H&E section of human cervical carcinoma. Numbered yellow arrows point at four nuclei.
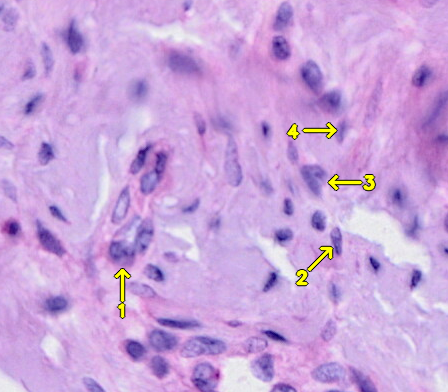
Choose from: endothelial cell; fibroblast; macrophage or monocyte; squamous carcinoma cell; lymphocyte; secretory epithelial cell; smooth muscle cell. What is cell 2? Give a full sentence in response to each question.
Marked with the number 2, this cell is a fibroblast.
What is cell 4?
The cell referred to as 4 is a fibroblast.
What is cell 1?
The cell tagged with 1 in this tissue section is an endothelial cell.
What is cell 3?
The cell that bears the number 3 is a fibroblast.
